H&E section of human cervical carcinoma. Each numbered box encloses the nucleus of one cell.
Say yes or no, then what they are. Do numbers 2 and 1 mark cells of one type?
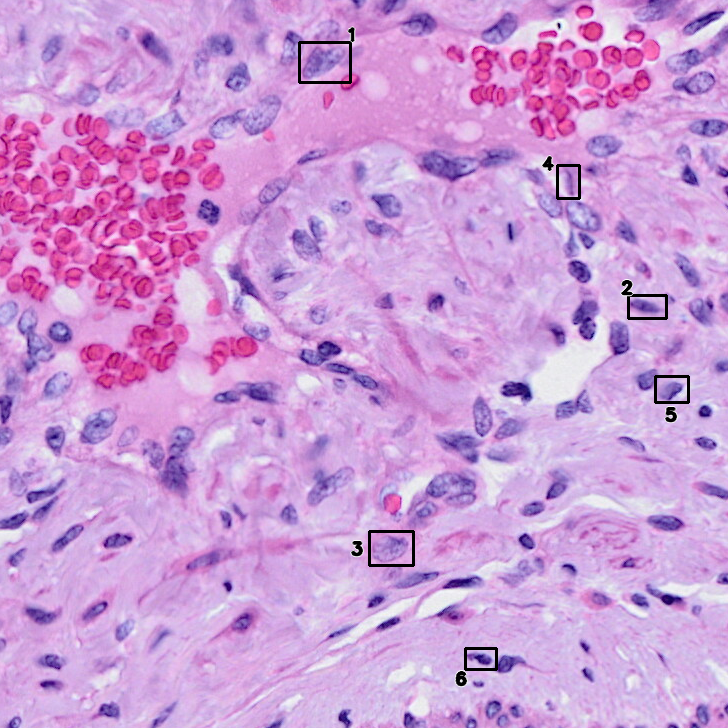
No, cell 2 is a fibroblast and cell 1 is an endothelial cell.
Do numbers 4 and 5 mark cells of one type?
No, just to clarify, cell 4 is an endothelial cell and cell 5 is a fibroblast.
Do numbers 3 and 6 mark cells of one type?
No, cell 3 counts as an endothelial cell, and cell 6 counts as a fibroblast.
